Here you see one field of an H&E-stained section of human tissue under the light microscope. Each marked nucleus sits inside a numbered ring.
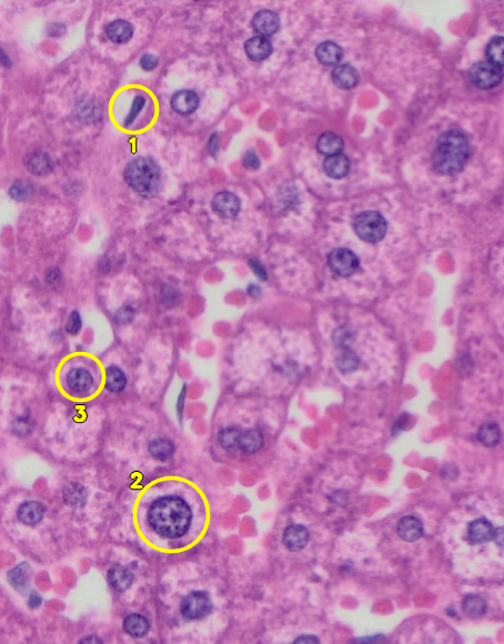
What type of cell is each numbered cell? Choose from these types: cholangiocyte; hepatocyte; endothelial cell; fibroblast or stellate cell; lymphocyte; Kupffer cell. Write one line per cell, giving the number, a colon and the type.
1: lymphocyte
2: hepatocyte
3: hepatocyte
